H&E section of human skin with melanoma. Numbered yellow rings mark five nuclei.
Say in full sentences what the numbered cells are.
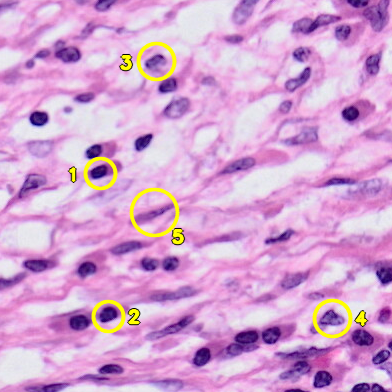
Cell 1 is a plasma cell, cell 2 is a plasma cell, cell 3 is a lymphocyte, cell 4 is a lymphocyte and cell 5 is a fibroblast or myofibroblast.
